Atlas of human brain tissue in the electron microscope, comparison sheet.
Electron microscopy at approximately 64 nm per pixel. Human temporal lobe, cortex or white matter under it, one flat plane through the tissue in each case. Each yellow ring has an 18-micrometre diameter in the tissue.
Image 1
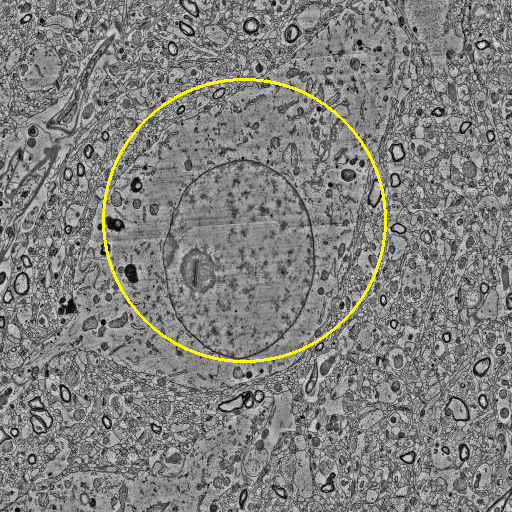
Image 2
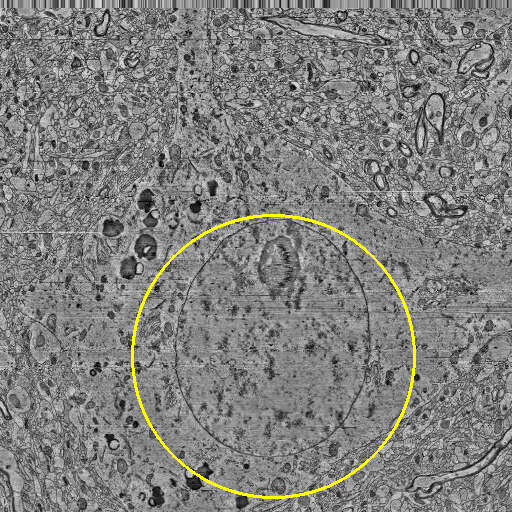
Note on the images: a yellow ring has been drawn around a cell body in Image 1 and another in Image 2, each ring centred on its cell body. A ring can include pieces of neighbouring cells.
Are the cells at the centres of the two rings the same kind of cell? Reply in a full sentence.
Yes, both cells are of the same kind.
